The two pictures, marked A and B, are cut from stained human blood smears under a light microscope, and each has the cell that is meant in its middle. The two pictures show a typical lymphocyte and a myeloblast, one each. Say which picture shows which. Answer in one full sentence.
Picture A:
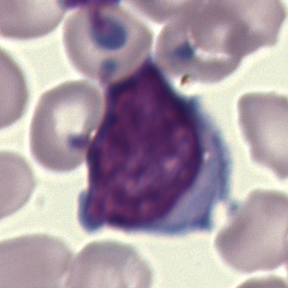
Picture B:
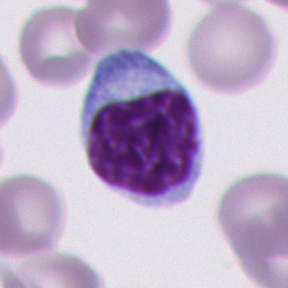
Picture A shows a myeloblast and picture B shows a typical lymphocyte.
